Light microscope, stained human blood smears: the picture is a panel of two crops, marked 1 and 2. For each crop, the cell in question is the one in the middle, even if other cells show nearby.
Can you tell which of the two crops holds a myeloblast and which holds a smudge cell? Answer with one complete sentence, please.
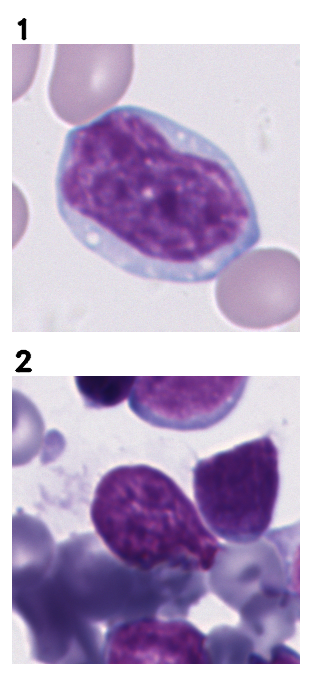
Crop 1 has been identified as a myeloblast, and crop 2 has been identified as a smudge cell.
